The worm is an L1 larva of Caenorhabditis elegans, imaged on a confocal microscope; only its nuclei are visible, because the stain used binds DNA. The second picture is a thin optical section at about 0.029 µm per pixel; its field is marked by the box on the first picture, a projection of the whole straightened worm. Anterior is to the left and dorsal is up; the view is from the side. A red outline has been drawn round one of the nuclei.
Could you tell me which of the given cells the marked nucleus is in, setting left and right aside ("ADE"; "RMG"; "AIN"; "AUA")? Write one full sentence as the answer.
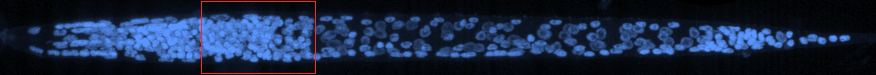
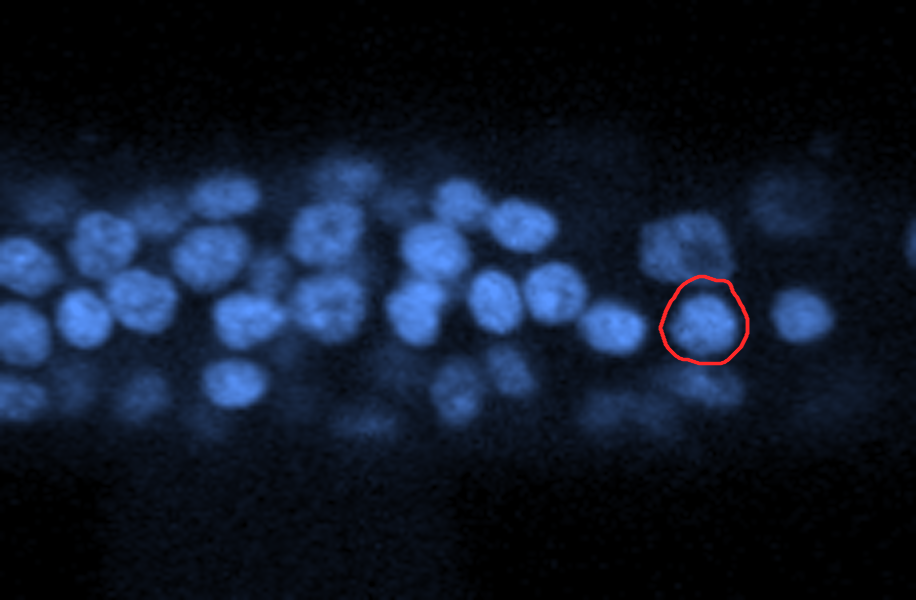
The marked nucleus belongs to RMG, a neuron.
